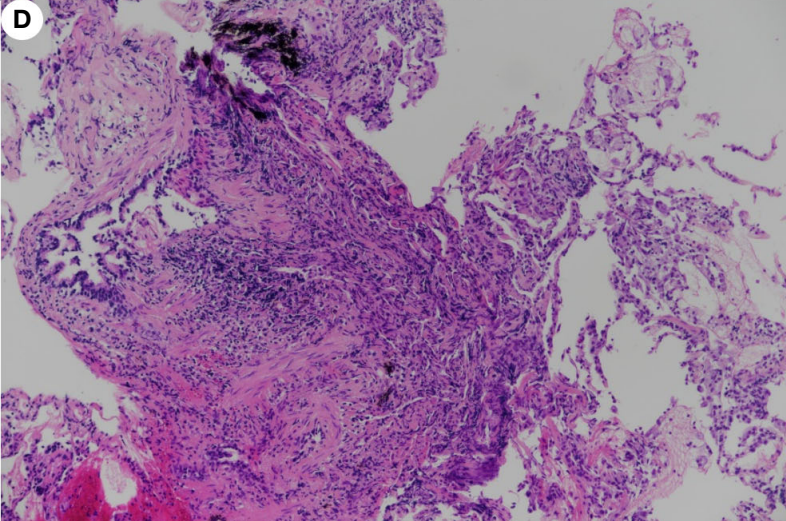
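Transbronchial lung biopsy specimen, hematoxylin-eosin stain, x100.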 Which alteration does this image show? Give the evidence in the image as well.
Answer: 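Dense collections of small, dark purple round nuclei crowd the interstitial tissue. This cellular tissue surrounds a small airway lined by epithelium at the left. Loose alveolar tissue lies at the right. On this evidence: patchy lymphocytic infiltration of the peribronchiolar interstitium.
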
